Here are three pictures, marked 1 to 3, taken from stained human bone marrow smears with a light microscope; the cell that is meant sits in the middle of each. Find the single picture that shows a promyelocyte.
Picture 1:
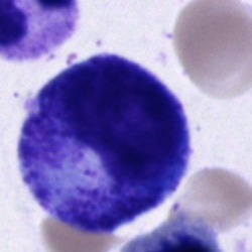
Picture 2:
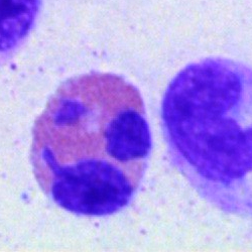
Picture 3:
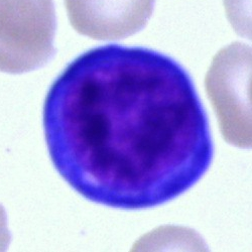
1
